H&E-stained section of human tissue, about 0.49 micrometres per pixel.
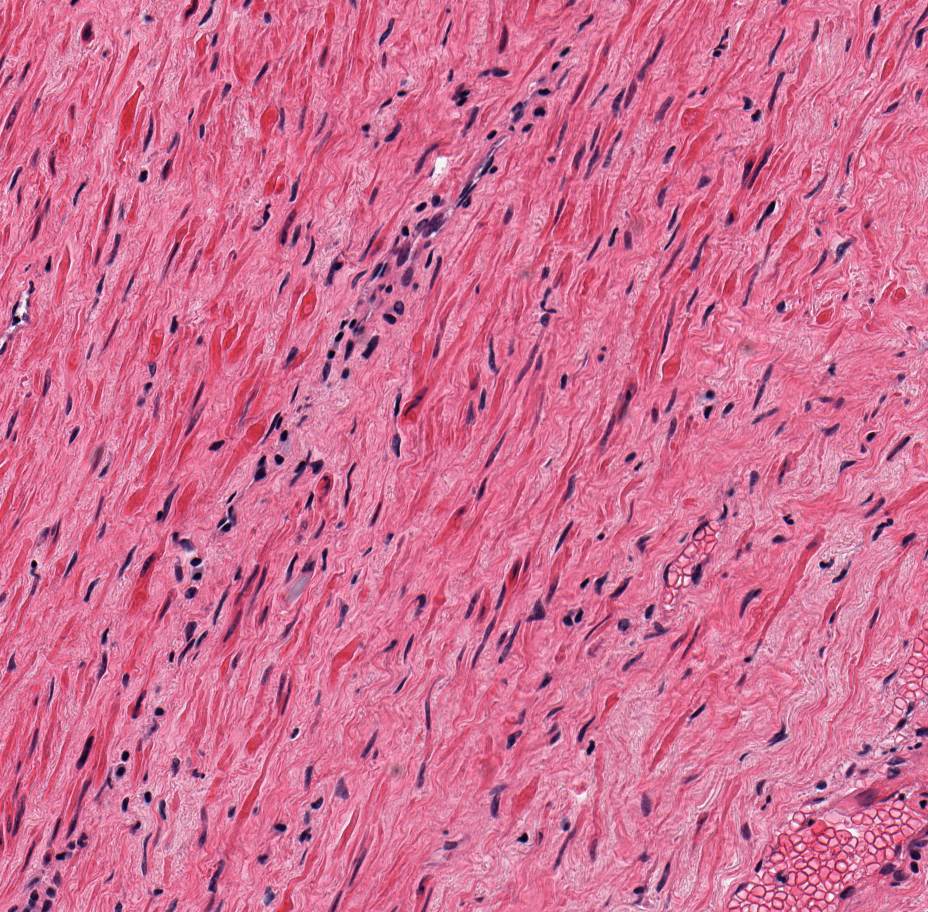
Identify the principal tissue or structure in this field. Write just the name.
fibromuscular stroma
